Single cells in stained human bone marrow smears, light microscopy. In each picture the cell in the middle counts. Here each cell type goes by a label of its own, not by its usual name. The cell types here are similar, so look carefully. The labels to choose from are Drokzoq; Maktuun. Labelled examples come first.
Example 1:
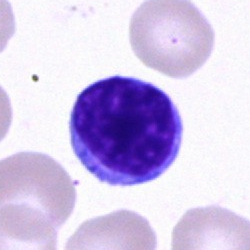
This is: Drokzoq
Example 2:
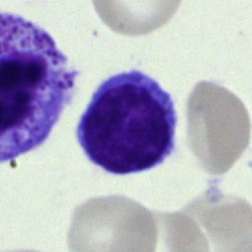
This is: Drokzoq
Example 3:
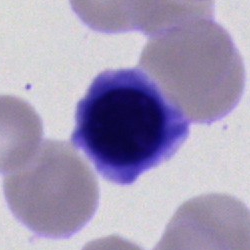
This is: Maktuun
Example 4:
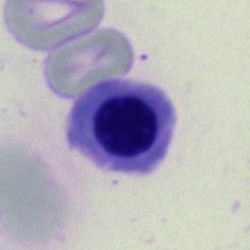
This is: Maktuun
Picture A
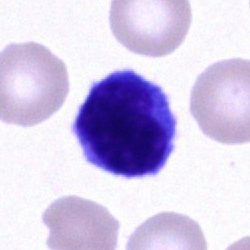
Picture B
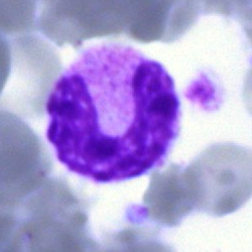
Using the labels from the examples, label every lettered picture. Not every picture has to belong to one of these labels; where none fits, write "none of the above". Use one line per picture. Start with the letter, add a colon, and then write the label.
A: Drokzoq
B: none of the above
